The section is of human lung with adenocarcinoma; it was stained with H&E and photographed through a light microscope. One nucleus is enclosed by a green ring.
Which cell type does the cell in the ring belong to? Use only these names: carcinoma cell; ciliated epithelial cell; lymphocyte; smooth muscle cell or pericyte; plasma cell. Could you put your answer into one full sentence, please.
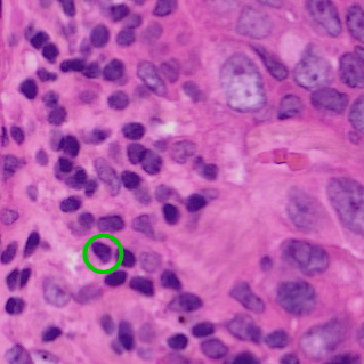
In this field of tissue, the cell in the ring is a lymphocyte.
